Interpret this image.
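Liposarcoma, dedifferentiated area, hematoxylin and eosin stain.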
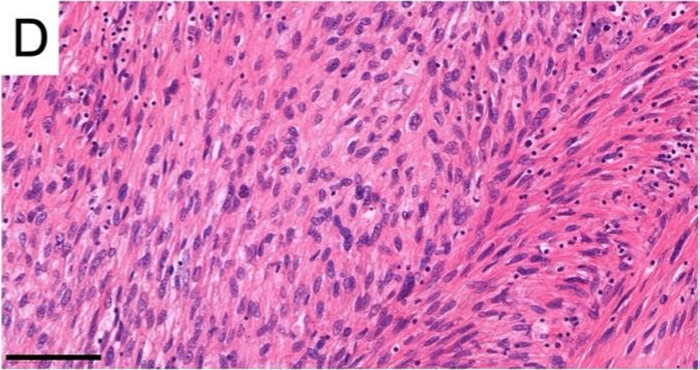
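This is a densely cellular high-grade spindle cell sarcoma. The tumor cells are elongated and arranged in intersecting bundles that sweep across the field. Their nuclei are enlarged, oval to elongated, crowded and dark purple, with visible variation in size and shape. The cytoplasm is pink and poorly delimited, and little stroma separates the cells. Small dark round nuclei of scattered inflammatory cells are seen among the tumor cells, especially at the edges of the bundles.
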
